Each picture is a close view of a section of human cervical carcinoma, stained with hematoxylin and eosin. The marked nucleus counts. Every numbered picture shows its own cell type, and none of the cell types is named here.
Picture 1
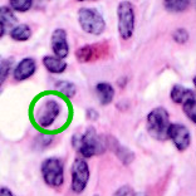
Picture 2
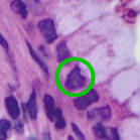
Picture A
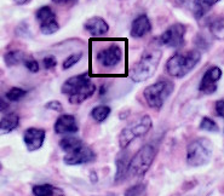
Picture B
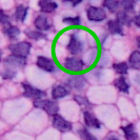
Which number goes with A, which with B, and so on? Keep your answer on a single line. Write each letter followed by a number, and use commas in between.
A 1, B 2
